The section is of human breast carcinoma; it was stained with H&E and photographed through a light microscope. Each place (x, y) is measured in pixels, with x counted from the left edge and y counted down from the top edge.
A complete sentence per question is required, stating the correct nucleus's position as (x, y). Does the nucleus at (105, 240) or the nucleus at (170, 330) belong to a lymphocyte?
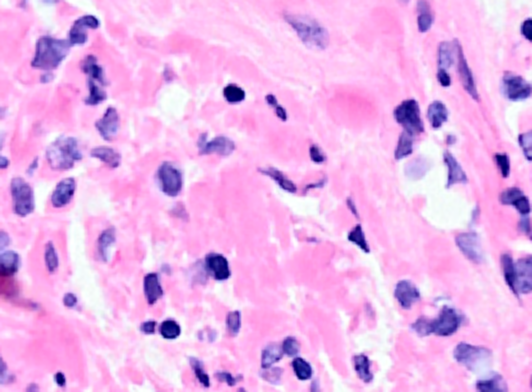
The nucleus whose cell is a lymphocyte is the one at (170, 330).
